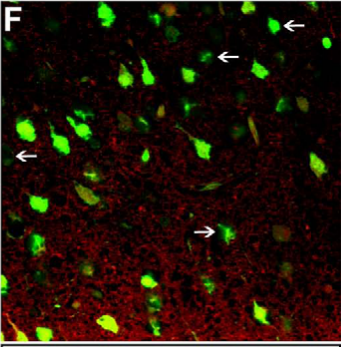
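Many small cell bodies, roughly angular or star-shaped with short stubby processes, are spread fairly evenly across the field without forming a layer. Most of them are bright green, and a good number look yellowish where green and red overlap. A fine red meshwork of thin processes fills the space between the cell bodies, giving a granular red background.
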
